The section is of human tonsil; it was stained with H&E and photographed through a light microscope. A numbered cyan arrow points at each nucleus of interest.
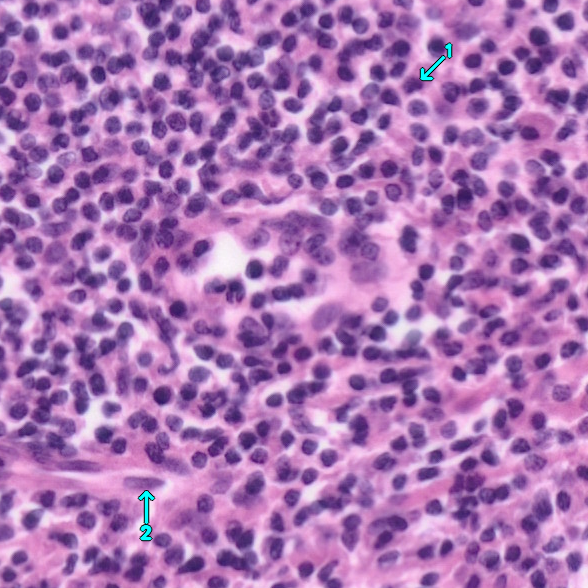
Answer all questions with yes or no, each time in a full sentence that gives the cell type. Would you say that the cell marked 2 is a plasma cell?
No, the cell marked 2 is an endothelial cell rather than a plasma cell.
